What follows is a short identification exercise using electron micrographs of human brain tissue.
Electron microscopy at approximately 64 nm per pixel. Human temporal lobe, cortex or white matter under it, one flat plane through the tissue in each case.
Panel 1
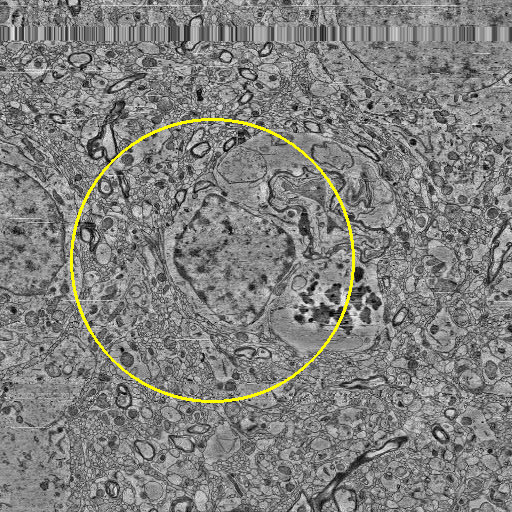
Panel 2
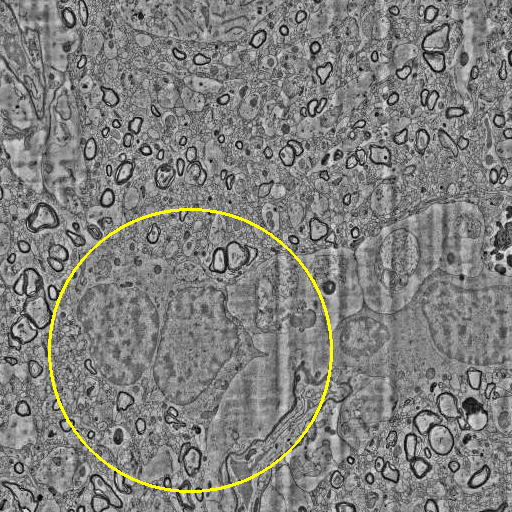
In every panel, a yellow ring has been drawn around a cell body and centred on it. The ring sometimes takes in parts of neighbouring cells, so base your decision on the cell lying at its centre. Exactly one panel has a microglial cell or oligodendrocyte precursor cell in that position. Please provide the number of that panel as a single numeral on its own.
1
